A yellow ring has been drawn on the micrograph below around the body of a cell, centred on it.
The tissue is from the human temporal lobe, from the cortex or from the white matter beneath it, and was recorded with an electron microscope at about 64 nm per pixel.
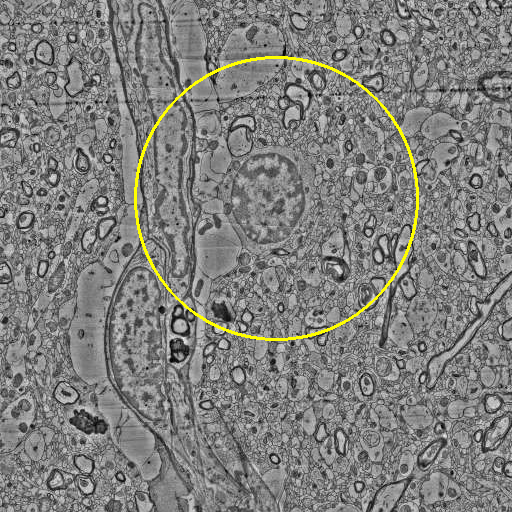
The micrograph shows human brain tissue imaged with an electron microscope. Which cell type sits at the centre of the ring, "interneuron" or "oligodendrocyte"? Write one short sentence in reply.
The cell sitting at the centre of the ring is an oligodendrocyte.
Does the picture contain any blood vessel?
Yes.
